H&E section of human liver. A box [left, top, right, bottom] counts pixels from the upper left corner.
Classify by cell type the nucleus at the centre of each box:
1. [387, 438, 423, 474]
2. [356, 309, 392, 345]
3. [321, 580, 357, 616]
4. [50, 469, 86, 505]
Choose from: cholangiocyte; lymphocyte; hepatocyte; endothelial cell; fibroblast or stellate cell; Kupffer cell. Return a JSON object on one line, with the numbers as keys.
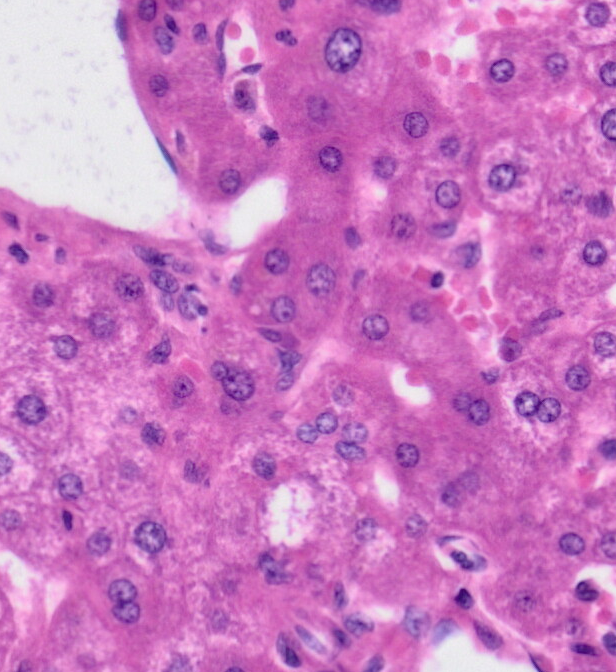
{"1": "hepatocyte", "2": "hepatocyte", "3": "fibroblast or stellate cell", "4": "hepatocyte"}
